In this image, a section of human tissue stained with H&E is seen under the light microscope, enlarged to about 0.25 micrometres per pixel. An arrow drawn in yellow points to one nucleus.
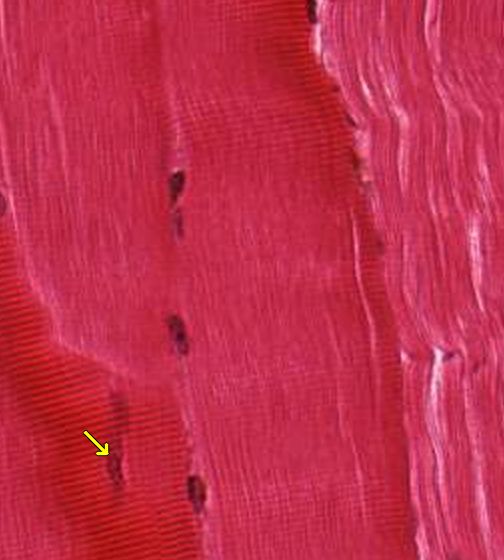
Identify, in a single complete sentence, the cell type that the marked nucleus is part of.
Here the marked nucleus belongs to a skeletal muscle fibre.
